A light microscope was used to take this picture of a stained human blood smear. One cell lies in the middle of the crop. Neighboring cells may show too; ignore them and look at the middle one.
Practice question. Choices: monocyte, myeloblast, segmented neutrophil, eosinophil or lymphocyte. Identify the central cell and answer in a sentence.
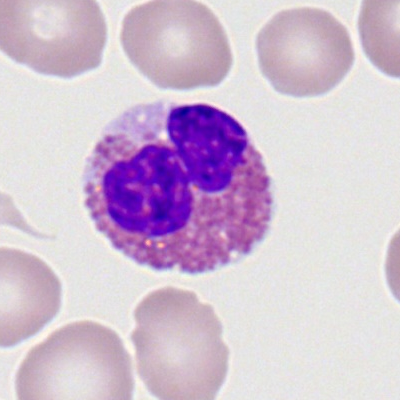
The middle cell in this particular crop is an eosinophil.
